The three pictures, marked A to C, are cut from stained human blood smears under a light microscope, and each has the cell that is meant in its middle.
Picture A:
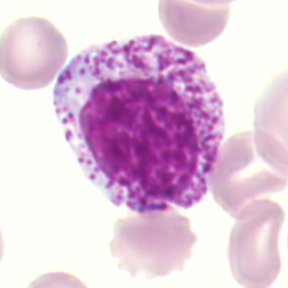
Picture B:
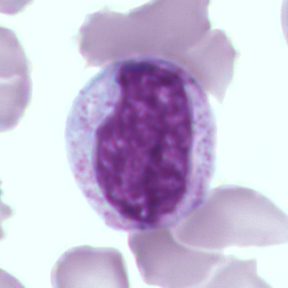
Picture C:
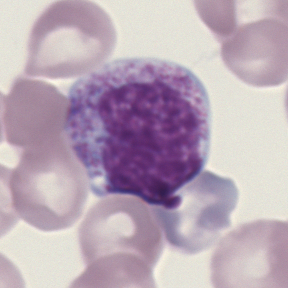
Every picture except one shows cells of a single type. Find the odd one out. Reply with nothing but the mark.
B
